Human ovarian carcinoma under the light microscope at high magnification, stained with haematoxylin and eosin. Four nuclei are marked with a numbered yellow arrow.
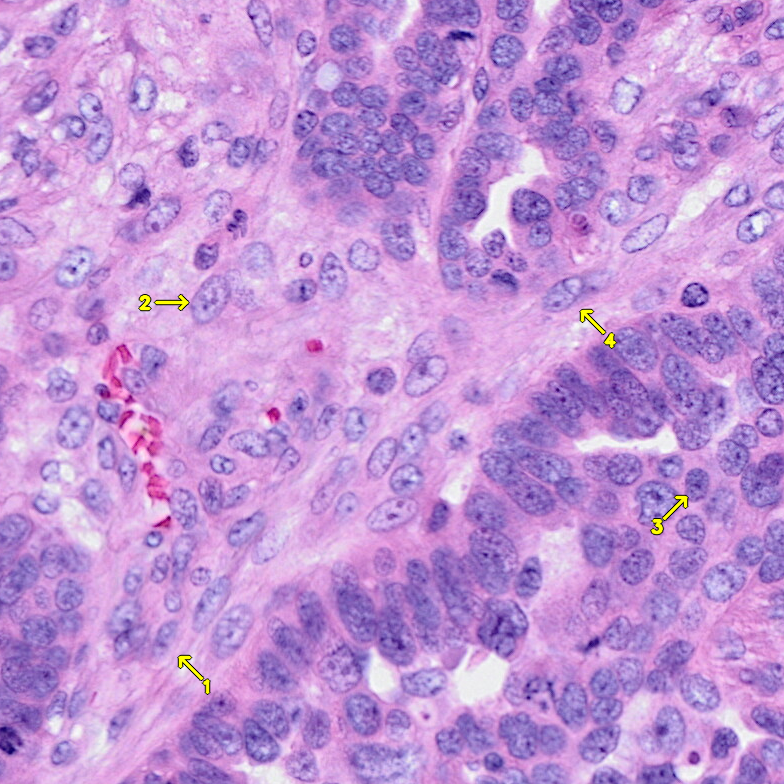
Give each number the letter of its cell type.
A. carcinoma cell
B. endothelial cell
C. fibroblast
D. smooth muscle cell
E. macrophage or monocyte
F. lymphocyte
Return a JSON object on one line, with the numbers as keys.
{"1": "C", "2": "C", "3": "A", "4": "C"}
